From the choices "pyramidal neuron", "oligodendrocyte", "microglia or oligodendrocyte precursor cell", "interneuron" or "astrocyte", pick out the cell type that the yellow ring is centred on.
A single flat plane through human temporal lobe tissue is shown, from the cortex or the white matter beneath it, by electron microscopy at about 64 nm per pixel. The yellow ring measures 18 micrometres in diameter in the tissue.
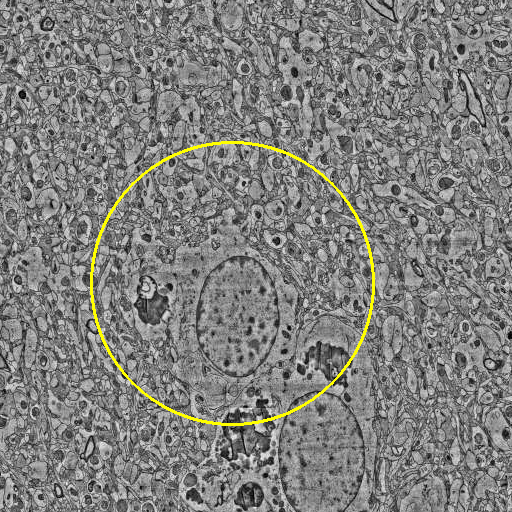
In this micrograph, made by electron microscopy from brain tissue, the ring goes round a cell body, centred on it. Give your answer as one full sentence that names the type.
The yellow ring is centred on an astrocyte, whose cell body it encircles in the picture.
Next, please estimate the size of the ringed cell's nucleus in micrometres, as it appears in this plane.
The nucleus works out at approximately 8 by 5 micrometres in this plane.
